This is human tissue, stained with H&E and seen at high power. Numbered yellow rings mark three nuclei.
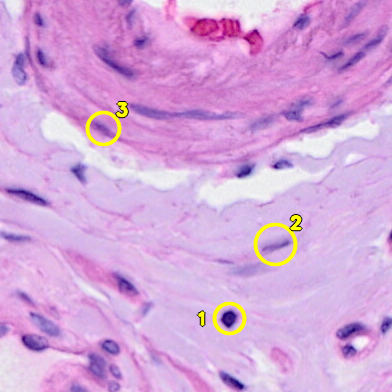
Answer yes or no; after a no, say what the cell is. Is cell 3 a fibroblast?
No, it is a smooth muscle cell.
